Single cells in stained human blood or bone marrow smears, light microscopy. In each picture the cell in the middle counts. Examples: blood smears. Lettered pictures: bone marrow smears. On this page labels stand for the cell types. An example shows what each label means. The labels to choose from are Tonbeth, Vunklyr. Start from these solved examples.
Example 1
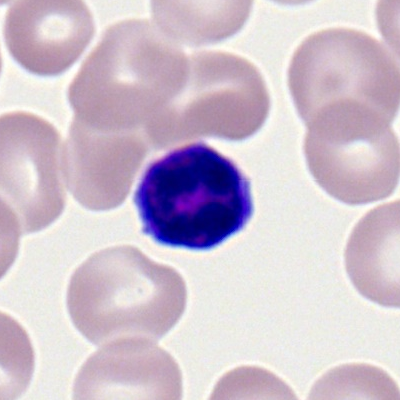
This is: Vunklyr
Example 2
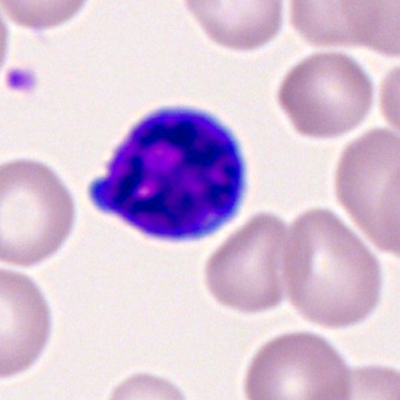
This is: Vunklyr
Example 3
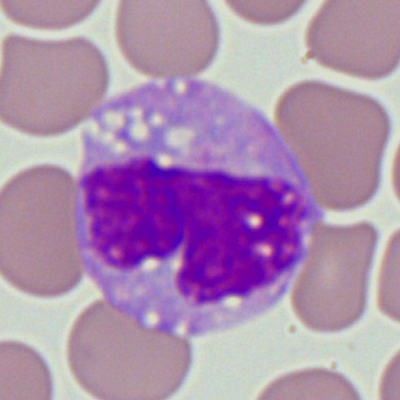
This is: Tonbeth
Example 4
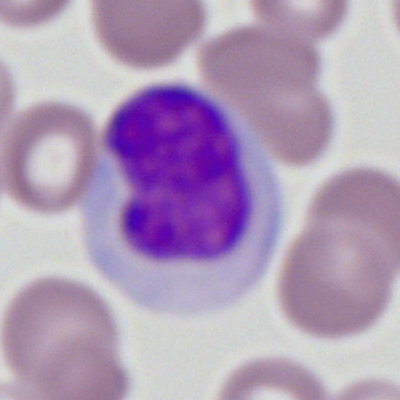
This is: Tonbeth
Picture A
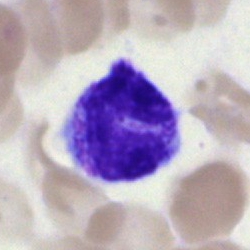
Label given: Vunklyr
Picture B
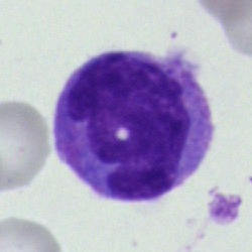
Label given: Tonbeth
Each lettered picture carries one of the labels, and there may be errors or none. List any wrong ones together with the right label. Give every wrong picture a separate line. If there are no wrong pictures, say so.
A: change Vunklyr to Tonbeth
